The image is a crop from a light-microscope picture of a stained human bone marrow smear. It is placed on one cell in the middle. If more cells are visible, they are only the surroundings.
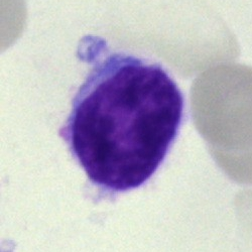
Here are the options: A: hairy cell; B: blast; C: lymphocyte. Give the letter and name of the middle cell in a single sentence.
The central cell of the crop is a hairy cell, which makes A the correct option.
